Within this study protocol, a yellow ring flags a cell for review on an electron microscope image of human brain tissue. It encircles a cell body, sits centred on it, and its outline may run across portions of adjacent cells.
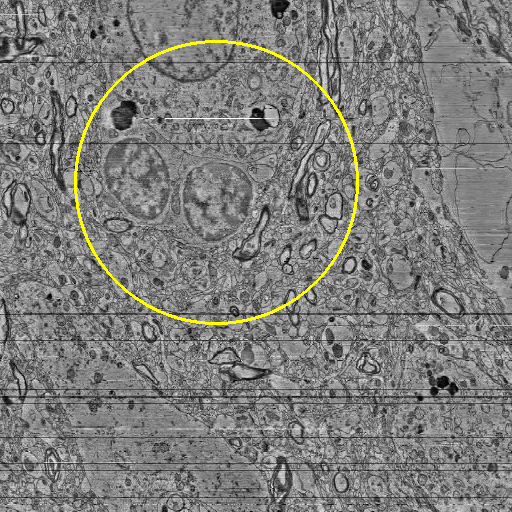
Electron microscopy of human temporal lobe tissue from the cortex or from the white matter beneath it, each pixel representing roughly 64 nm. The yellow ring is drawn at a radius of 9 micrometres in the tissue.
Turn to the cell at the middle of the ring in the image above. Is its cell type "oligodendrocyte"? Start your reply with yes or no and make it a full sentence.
Yes, the cell at the ring's centre in the image above has that cell type.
